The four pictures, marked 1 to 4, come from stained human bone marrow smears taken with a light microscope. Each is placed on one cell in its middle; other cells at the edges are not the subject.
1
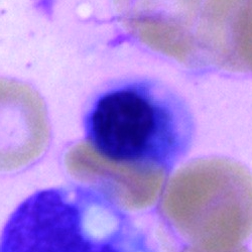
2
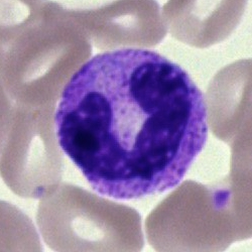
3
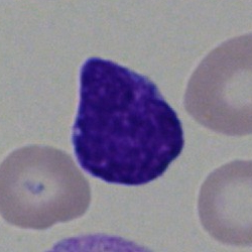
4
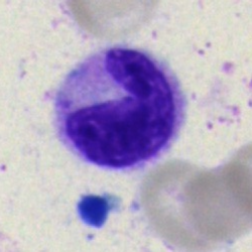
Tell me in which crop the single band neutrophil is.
4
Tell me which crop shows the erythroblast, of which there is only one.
1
